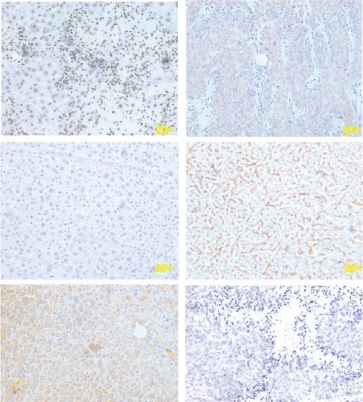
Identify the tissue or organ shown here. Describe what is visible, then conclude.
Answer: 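Liver. Sheets of polygonal cells with round central nuclei. Cells arranged in cords or plates with narrow spaces between them.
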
